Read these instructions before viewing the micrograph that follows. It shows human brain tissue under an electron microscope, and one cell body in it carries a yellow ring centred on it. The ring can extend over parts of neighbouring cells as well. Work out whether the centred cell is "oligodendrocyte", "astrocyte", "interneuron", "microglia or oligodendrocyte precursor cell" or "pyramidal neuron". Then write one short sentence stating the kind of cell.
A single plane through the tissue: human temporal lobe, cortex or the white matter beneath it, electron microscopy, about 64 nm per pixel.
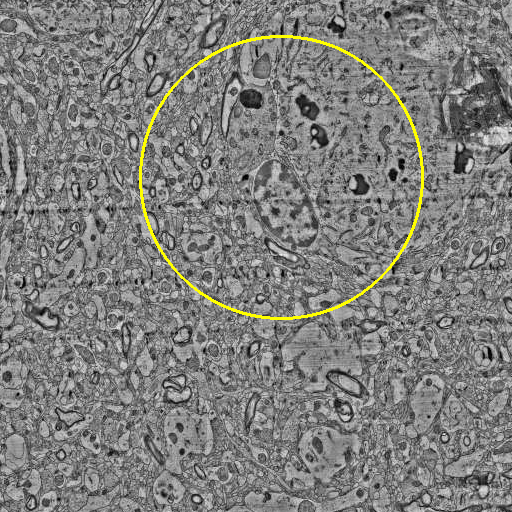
The ringed cell is a microglial cell or oligodendrocyte precursor cell.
